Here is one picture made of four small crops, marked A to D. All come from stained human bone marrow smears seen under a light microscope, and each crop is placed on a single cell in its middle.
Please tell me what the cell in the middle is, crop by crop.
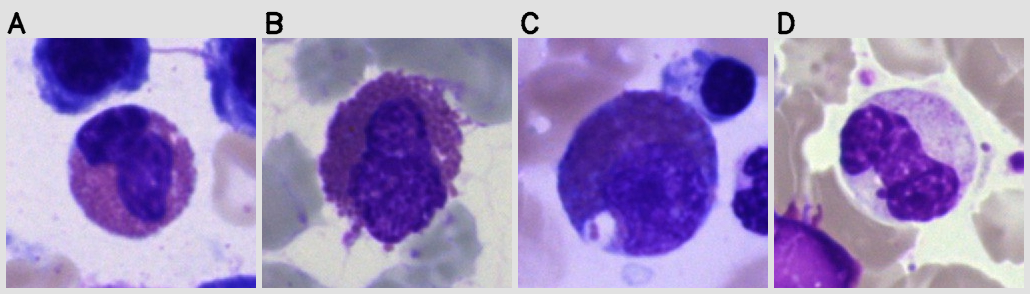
A: eosinophil
B: eosinophil
C: eosinophil
D: neutrophil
